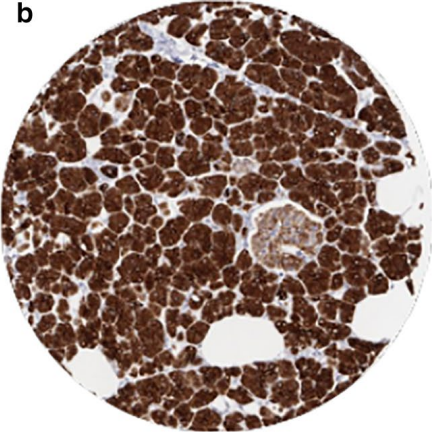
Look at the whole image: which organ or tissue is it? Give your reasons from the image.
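Densely packed small acini fill the panel. A paler rounded cell cluster lies among the acini. Scattered fat spaces lie between lobules. So: pancreas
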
